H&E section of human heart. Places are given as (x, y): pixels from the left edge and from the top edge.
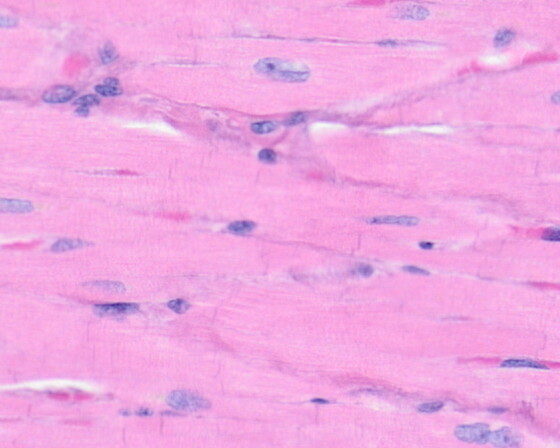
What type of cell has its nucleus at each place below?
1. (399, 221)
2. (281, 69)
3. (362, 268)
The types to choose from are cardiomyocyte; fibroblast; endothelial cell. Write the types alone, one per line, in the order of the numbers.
cardiomyocyte
cardiomyocyte
fibroblast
